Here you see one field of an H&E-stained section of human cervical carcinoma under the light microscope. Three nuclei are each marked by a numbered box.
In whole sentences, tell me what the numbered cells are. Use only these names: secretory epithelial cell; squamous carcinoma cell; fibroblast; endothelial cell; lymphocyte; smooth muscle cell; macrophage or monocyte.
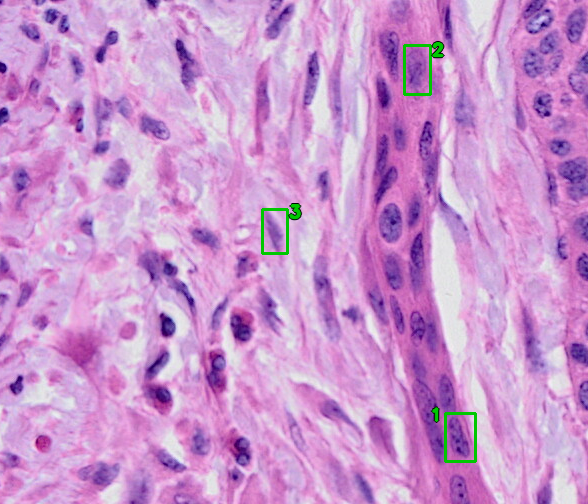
Cells 1 and 2 are squamous carcinoma cells. Cell 3 is a fibroblast.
